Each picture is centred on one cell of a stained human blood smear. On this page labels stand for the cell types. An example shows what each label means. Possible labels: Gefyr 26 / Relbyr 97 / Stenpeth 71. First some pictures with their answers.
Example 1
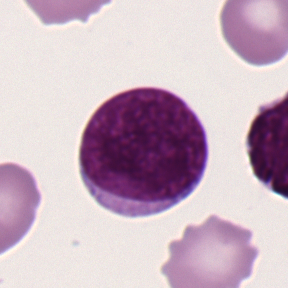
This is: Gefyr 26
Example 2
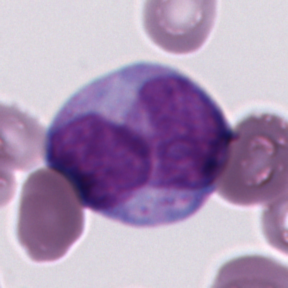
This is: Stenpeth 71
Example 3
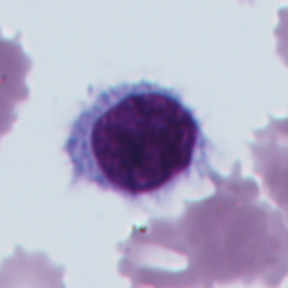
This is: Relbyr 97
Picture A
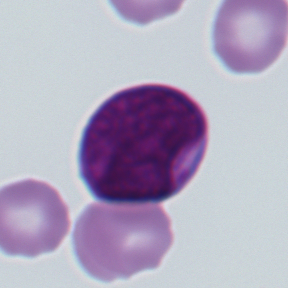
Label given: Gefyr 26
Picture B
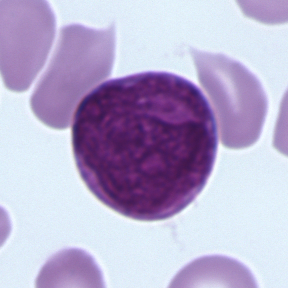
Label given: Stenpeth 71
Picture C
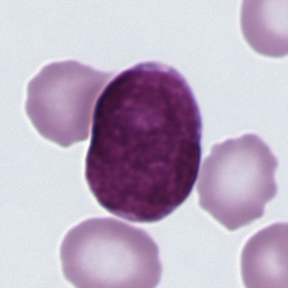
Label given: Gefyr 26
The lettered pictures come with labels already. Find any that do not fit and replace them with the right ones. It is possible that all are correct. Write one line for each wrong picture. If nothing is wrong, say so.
B: change Stenpeth 71 to Gefyr 26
